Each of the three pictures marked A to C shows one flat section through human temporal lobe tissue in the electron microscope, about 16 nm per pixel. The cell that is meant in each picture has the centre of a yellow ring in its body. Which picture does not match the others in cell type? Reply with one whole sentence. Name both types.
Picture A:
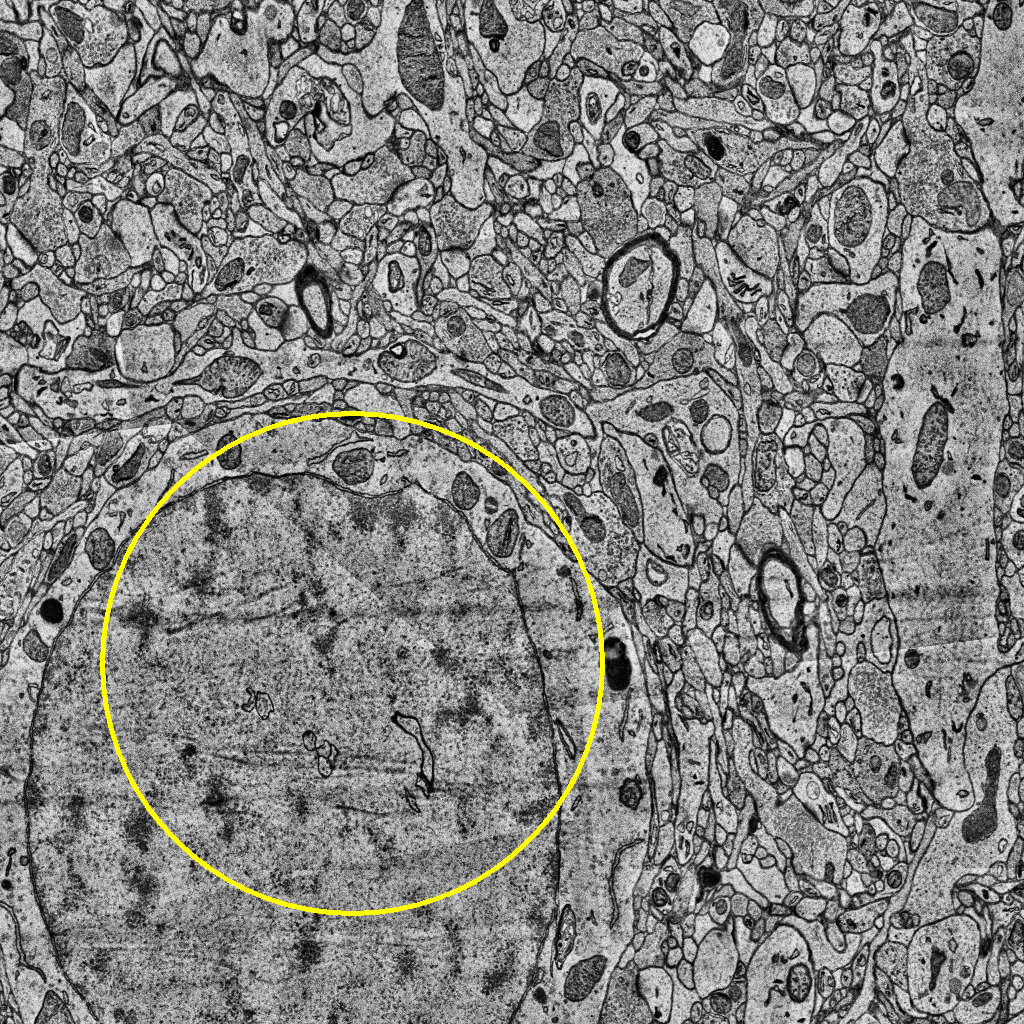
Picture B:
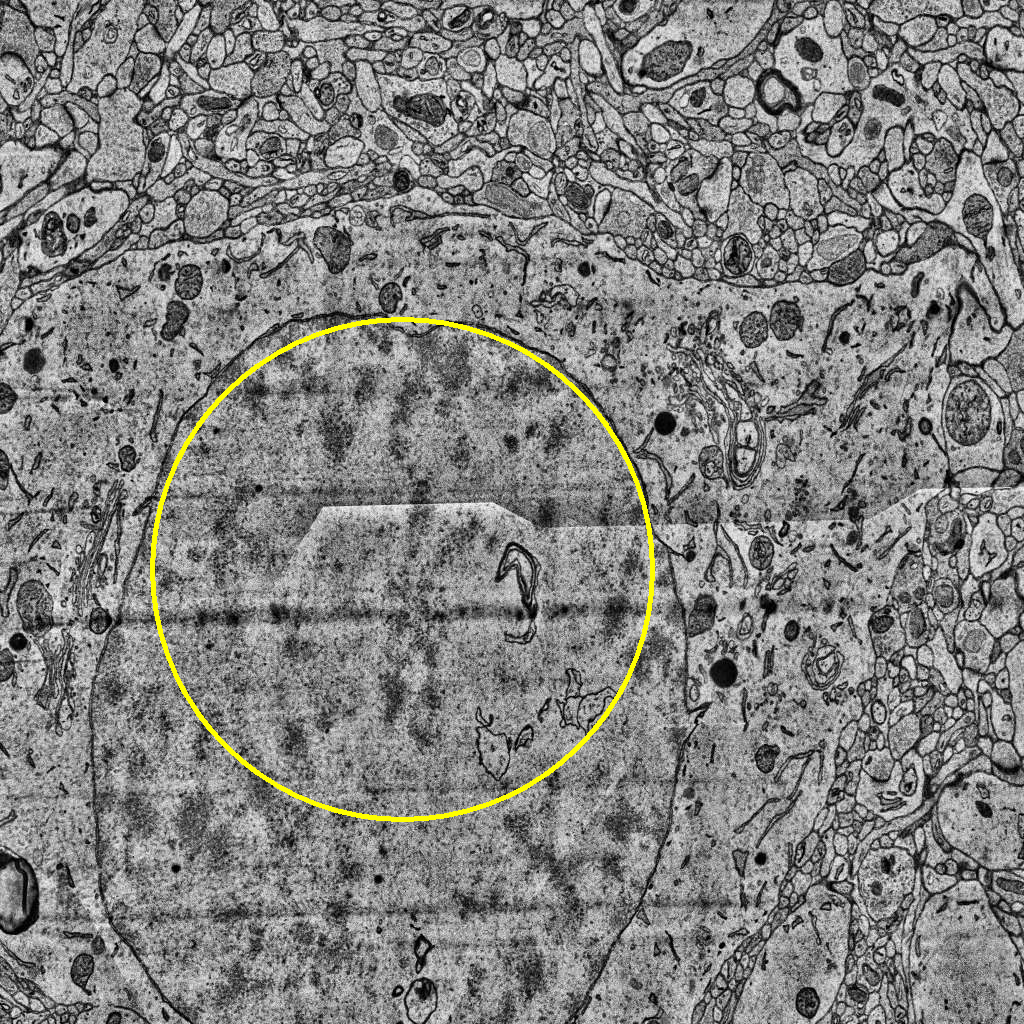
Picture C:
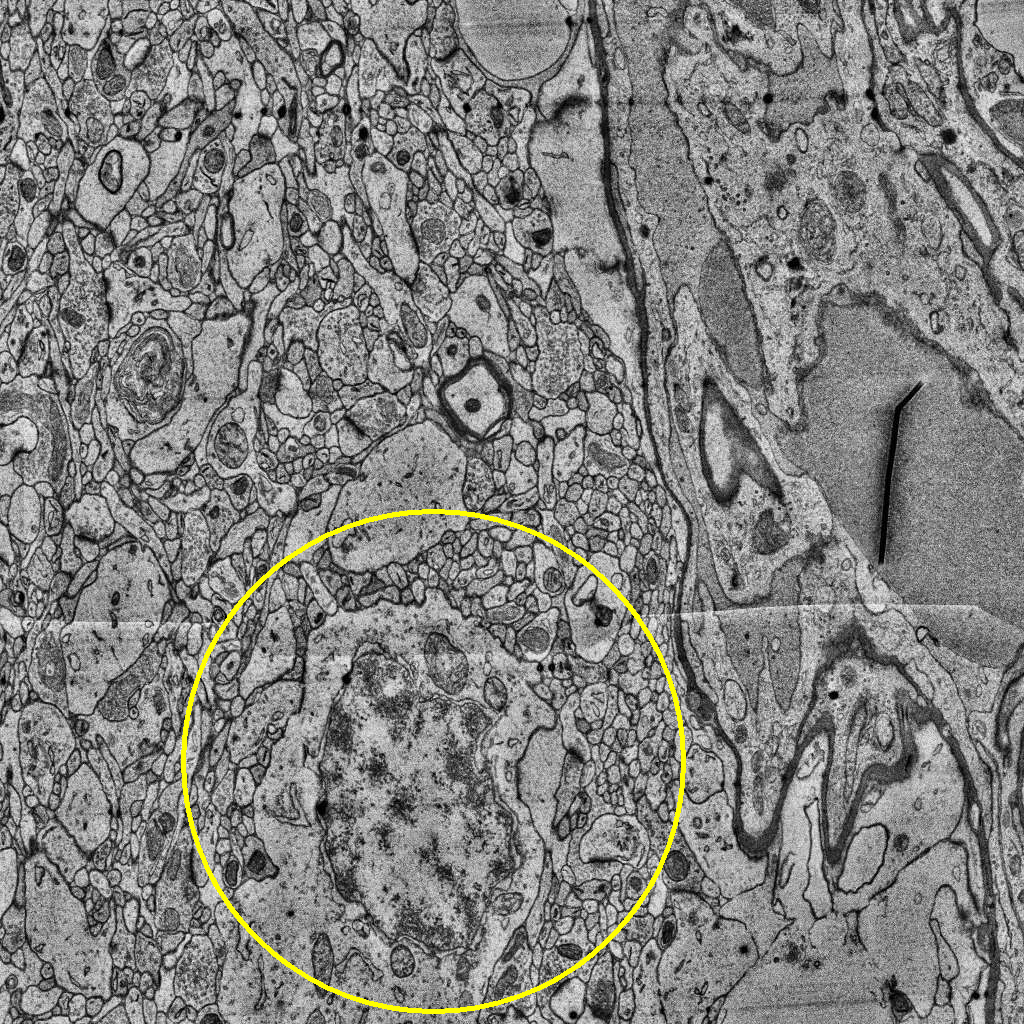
All pictures except C show pyramidal neurons; picture C shows an interneuron.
